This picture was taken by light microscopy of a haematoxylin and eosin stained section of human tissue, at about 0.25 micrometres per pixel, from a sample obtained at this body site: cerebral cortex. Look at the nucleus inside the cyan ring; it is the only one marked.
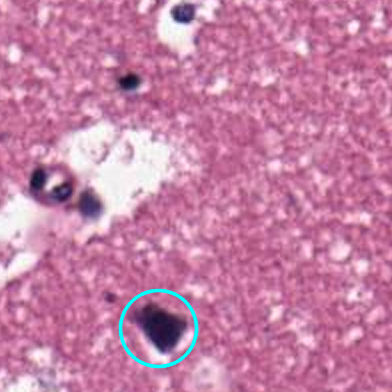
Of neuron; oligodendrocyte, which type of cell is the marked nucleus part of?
neuron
